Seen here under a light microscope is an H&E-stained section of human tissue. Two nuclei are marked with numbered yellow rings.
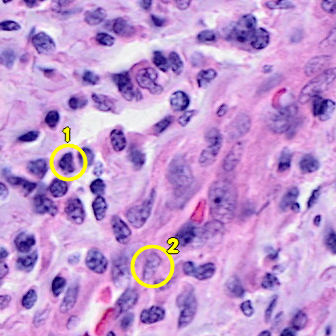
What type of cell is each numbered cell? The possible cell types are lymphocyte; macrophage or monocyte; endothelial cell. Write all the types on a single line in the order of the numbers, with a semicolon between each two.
lymphocyte; endothelial cell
